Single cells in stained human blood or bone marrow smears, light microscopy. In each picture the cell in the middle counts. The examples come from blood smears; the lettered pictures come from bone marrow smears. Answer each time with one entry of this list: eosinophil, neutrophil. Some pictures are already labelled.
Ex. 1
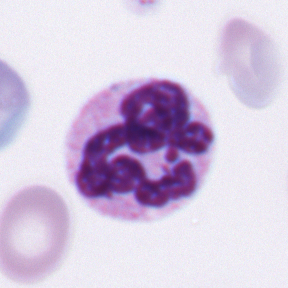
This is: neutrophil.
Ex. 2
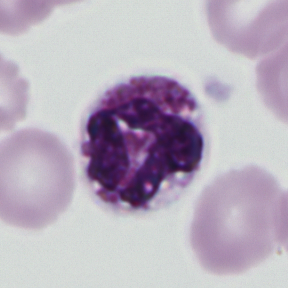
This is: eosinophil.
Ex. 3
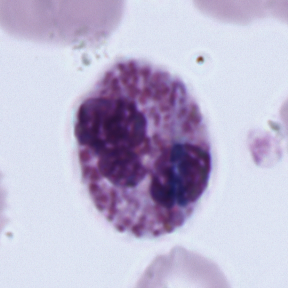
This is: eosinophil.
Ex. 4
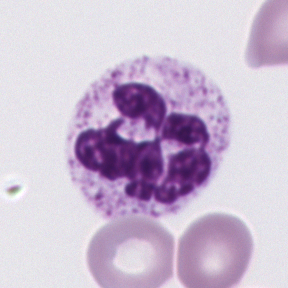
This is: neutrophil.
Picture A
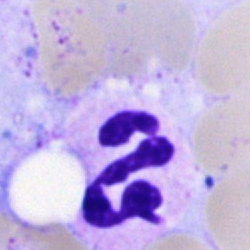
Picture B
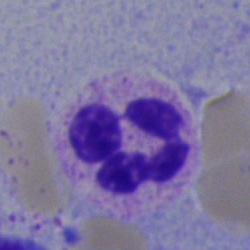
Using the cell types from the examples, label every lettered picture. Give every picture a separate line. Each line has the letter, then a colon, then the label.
A: neutrophil.
B: neutrophil.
